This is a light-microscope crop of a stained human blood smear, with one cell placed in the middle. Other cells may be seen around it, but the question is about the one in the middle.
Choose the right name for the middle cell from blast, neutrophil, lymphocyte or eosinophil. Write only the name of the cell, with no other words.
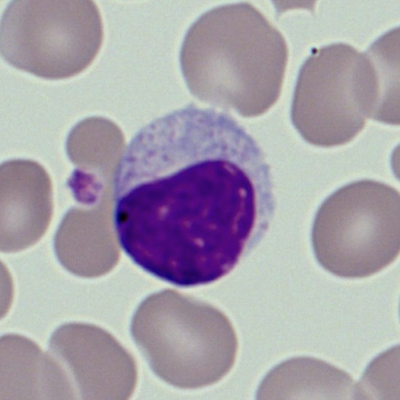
lymphocyte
